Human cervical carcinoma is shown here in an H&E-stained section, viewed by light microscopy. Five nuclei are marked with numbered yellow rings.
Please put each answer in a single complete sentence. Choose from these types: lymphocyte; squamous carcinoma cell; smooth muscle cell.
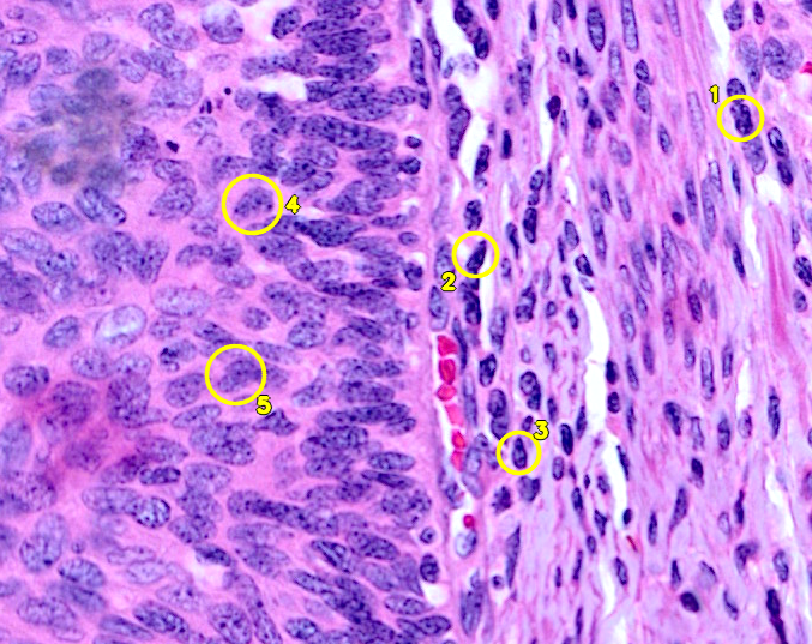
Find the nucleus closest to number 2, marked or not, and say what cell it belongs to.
Number 2 lies closest to the nucleus of a lymphocyte.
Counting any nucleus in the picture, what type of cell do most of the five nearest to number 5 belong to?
Around number 5, most of the five nearest nuclei are those of squamous carcinoma cells.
